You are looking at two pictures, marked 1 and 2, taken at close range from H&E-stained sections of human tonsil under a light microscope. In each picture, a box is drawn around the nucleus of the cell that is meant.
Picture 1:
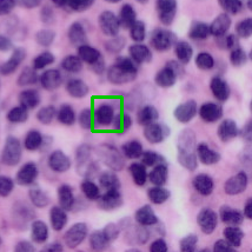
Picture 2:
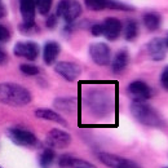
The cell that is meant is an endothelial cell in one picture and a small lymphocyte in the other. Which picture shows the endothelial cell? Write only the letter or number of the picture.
2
